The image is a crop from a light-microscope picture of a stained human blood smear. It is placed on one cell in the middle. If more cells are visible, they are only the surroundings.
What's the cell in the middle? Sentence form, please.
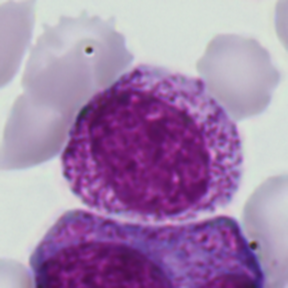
The middle of this crop is occupied by a myelocyte.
